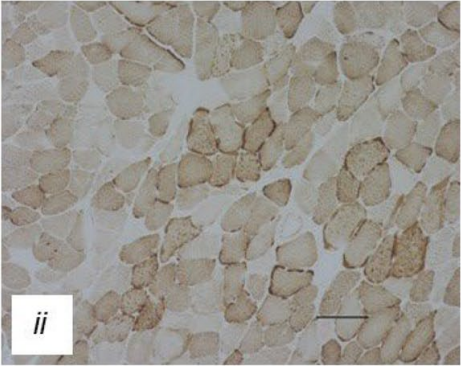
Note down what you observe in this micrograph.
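This is a transverse section of skeletal muscle showing polygonal muscle fibres of varied size separated by pale connective tissue. The fibres are stained in different intensities of brown, giving a mosaic: some are very pale and nearly unstained, others are mid brown. The pale fibres lie scattered among stained ones rather than in one region.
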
